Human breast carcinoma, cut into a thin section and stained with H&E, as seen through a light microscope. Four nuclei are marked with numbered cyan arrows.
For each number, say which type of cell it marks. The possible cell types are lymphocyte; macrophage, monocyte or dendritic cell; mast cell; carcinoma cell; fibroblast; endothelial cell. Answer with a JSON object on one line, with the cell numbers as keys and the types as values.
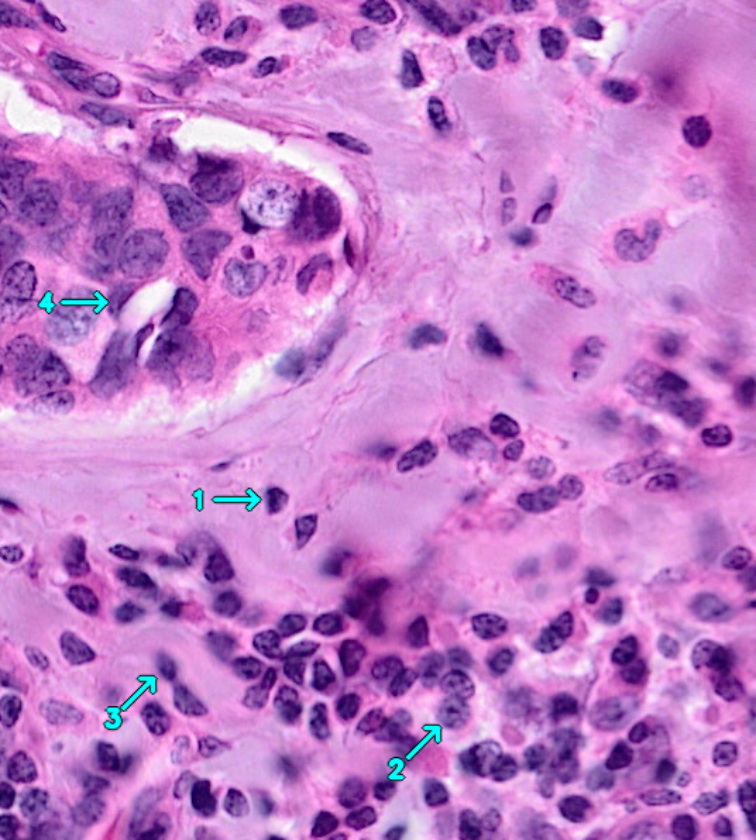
{"1": "lymphocyte", "2": "mast cell", "3": "lymphocyte", "4": "carcinoma cell"}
